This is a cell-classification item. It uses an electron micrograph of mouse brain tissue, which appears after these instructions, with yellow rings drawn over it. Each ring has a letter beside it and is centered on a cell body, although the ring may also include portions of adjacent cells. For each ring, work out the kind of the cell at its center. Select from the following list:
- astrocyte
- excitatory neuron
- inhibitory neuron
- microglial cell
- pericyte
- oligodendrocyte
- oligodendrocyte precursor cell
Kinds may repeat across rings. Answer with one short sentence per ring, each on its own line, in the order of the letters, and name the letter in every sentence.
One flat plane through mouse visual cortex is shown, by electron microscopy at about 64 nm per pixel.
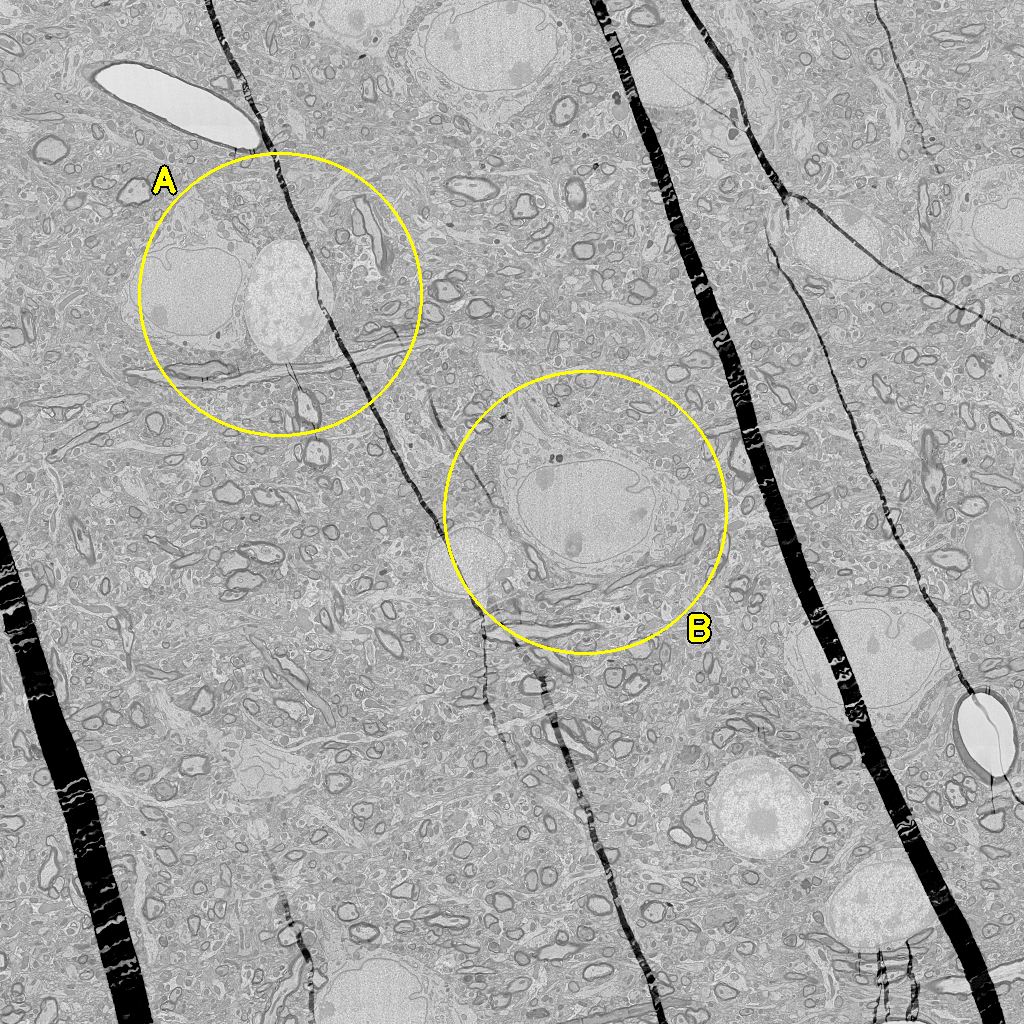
Ring A has an oligodendrocyte at its center.
Ring B has an excitatory neuron at its center.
